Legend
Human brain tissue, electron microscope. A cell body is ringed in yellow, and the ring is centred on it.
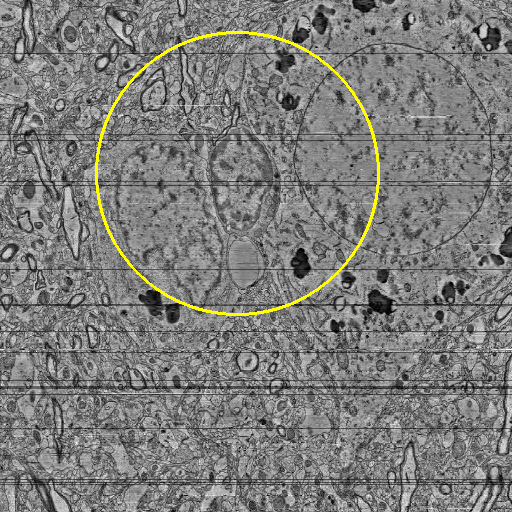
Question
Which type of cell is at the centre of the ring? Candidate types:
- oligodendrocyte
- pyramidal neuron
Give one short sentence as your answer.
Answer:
The yellow ring is centred here on an oligodendrocyte.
